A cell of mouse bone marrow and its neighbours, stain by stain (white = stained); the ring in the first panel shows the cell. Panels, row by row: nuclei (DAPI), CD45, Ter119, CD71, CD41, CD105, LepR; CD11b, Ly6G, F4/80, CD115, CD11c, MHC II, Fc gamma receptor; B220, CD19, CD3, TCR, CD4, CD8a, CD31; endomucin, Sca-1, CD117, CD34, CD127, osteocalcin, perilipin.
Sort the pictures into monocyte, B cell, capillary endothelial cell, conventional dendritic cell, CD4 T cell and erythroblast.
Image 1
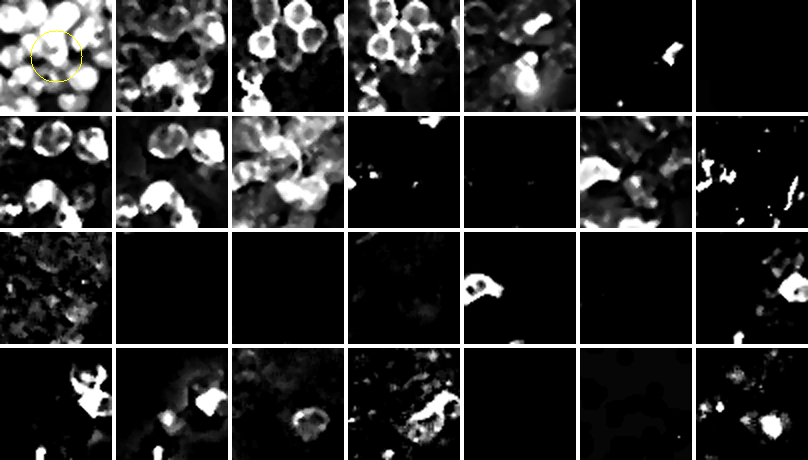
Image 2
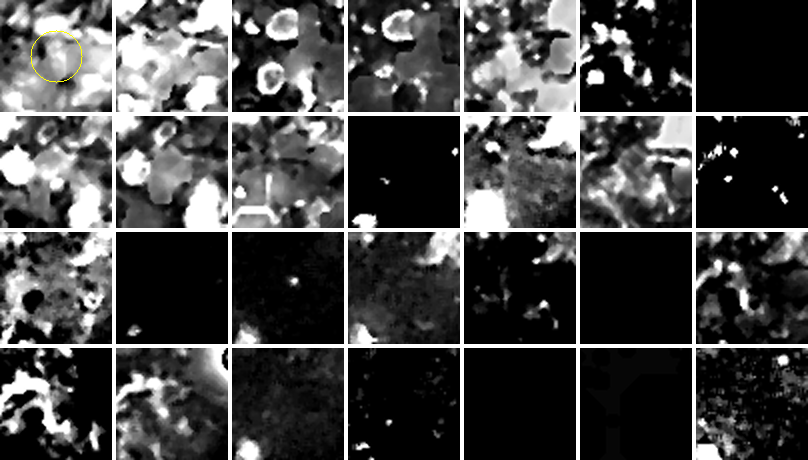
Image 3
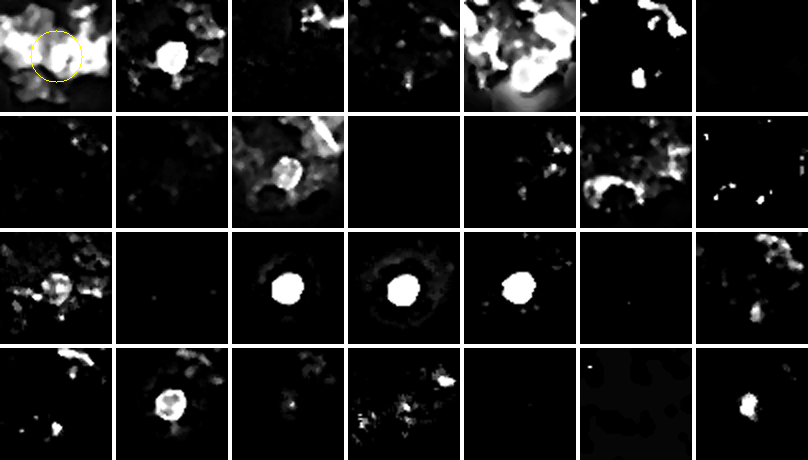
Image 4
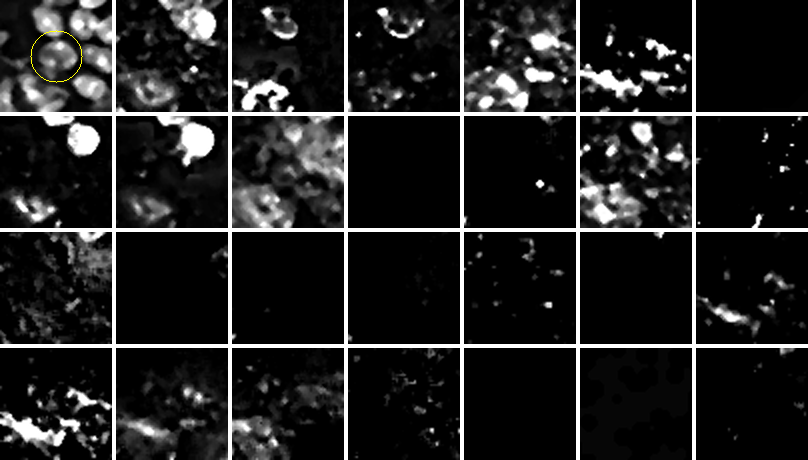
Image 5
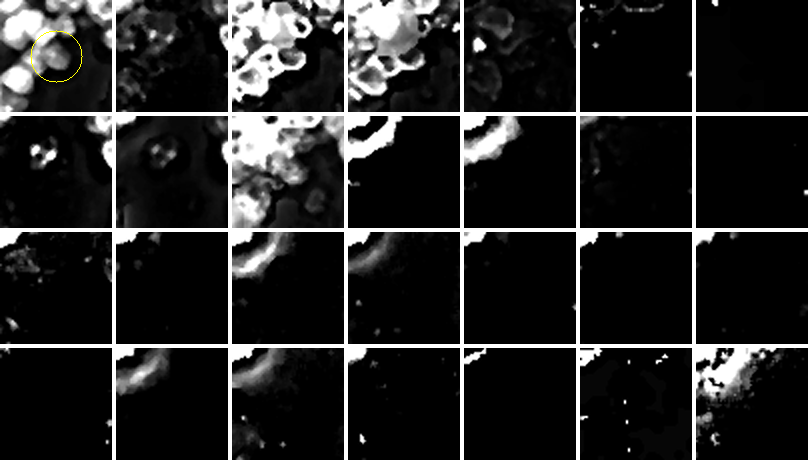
Erythroblasts: 1, 5
Conventional dendritic cells: 2
CD4 T cells: 3
Capillary endothelial cells: 4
